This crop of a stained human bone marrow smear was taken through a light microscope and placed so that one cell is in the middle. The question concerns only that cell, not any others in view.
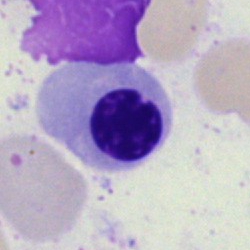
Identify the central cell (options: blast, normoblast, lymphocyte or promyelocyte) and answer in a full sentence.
Where the crop is centred, there is a normoblast.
